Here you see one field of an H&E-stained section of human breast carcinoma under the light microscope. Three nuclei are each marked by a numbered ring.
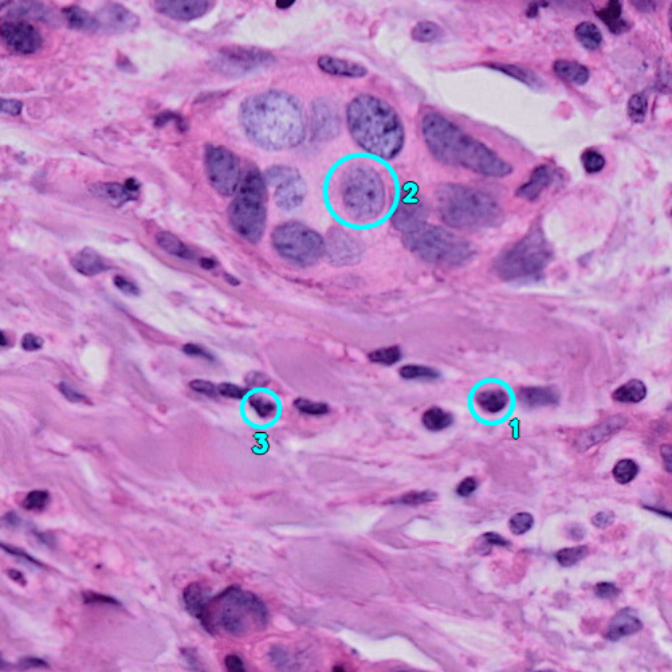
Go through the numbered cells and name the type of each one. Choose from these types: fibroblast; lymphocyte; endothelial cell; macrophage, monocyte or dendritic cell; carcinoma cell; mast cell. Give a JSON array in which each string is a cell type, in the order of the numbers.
["lymphocyte", "carcinoma cell", "lymphocyte"]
